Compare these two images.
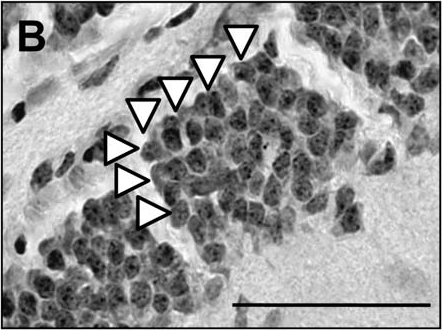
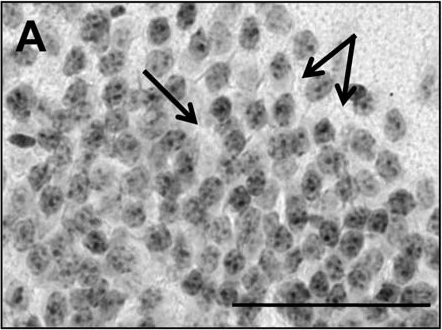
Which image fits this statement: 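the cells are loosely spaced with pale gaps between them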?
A: the second image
